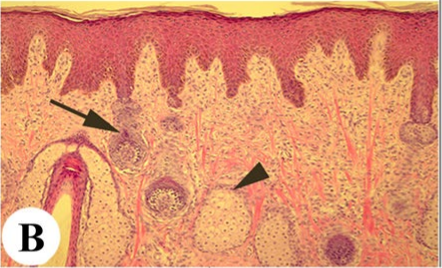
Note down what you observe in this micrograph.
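This is skin with a thickened epidermis overlying a loose dermis. The epidermis is a stratified squamous layer, darker pink at the surface, that sends long, deep downgrowths into the dermis below. In the dermis lie several rounded epithelial structures, some small and bud-like, and one connected to a hair shaft on the left. A pale rounded lobule of larger, clear-looking cells sits beside these structures. The dermis between them is pale and loosely textured, crossed by fine reddish strands.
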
